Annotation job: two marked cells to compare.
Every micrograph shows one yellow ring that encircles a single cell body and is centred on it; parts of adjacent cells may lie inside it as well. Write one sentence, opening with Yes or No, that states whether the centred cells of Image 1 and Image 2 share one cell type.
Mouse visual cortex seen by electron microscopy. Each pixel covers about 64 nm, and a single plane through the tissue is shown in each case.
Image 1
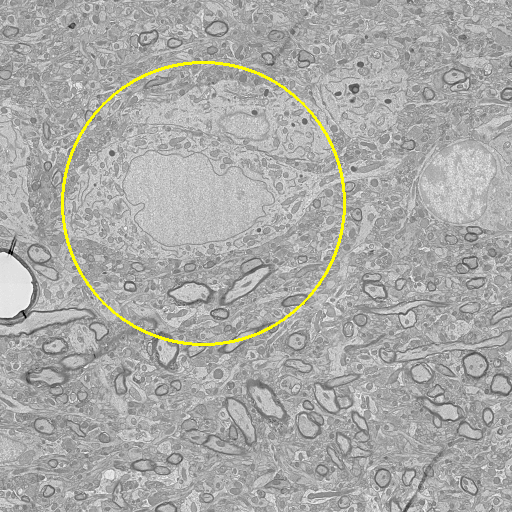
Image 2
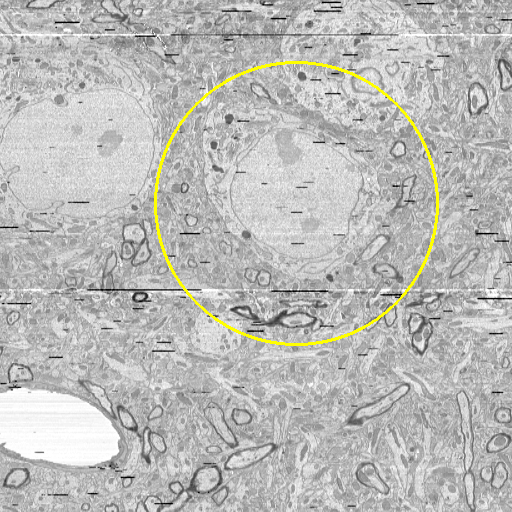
Yes, the cell centred in Image 1 shares its type with the cell centred in Image 2.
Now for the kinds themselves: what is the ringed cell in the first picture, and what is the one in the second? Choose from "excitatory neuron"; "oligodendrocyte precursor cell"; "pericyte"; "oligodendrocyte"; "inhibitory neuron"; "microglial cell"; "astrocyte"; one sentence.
In each picture the ringed cell is an inhibitory neuron.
